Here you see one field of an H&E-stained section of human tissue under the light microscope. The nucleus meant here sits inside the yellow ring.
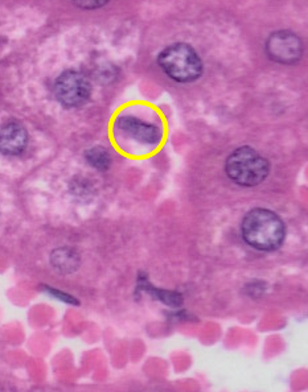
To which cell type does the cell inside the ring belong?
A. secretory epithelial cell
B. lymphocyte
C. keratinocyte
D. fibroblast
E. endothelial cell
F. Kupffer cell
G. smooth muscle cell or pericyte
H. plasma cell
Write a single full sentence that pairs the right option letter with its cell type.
Given that the cell inside the ring is a Kupffer cell, option F is the correct one.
